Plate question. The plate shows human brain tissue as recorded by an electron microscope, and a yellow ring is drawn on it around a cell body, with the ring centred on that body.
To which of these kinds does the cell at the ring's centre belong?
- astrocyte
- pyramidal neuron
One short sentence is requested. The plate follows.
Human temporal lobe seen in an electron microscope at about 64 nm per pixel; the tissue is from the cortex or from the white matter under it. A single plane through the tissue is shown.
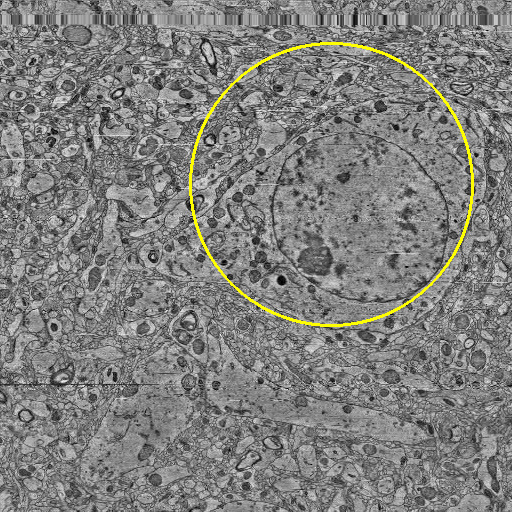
The cell at the ring's centre is a pyramidal neuron.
